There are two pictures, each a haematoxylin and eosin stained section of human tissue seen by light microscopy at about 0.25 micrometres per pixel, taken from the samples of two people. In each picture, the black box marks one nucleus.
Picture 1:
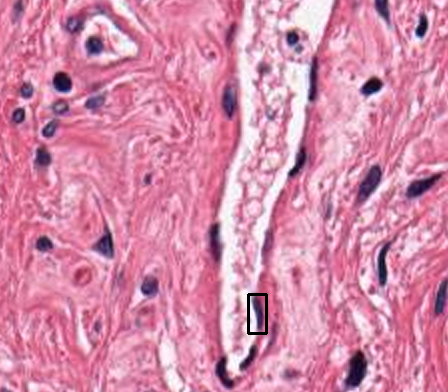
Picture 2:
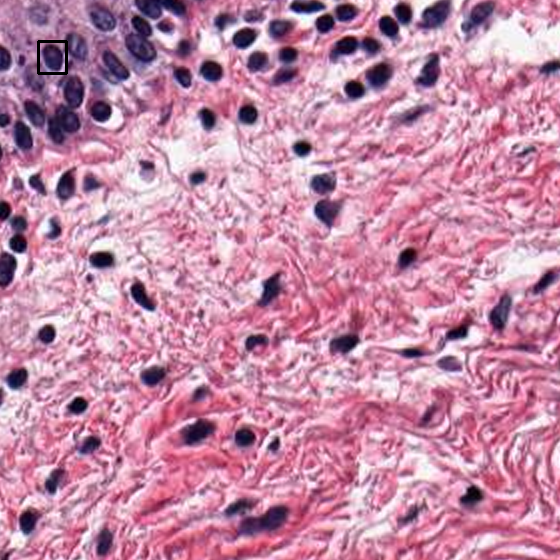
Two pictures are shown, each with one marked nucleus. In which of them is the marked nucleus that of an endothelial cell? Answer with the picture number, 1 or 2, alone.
1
